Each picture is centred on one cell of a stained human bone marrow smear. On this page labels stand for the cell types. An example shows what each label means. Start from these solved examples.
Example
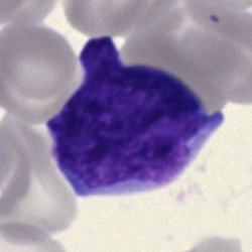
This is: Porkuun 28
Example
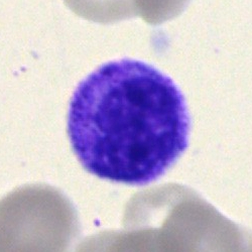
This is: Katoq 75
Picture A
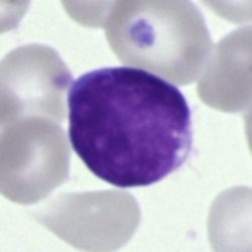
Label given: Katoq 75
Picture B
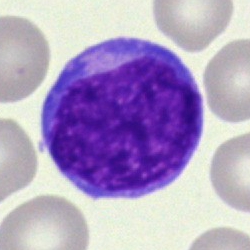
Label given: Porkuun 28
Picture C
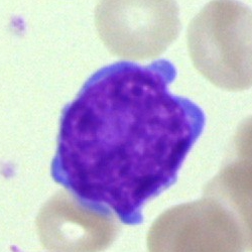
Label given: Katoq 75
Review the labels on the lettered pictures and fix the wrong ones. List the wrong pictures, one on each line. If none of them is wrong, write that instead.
Wrong: A (Katoq 75); correct: Porkuun 28
Wrong: C (Katoq 75); correct: Porkuun 28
